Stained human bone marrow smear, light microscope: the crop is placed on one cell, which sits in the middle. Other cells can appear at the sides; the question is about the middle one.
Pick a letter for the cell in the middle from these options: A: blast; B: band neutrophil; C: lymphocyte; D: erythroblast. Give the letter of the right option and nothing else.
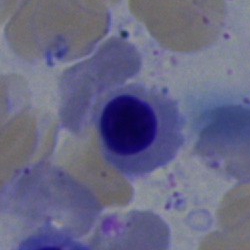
D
